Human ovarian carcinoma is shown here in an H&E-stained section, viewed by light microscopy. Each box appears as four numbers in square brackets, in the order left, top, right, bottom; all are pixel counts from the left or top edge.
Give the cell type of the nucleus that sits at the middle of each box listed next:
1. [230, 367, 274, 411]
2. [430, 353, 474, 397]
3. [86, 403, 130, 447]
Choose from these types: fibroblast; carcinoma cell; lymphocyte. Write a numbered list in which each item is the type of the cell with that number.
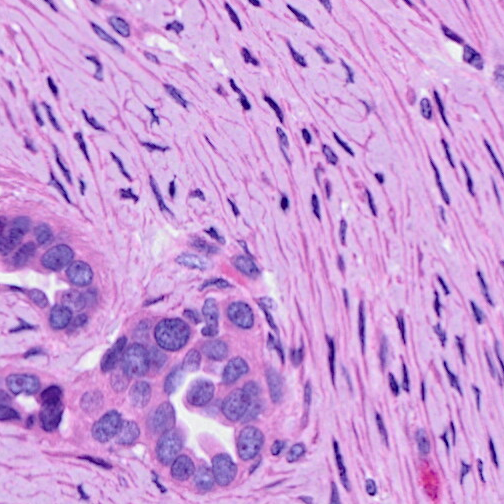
1. carcinoma cell
2. fibroblast
3. carcinoma cell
